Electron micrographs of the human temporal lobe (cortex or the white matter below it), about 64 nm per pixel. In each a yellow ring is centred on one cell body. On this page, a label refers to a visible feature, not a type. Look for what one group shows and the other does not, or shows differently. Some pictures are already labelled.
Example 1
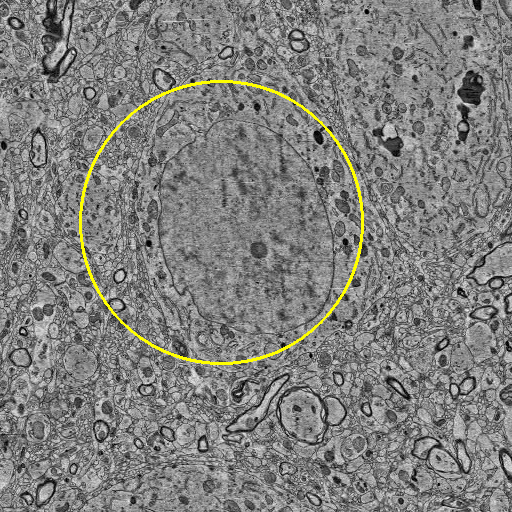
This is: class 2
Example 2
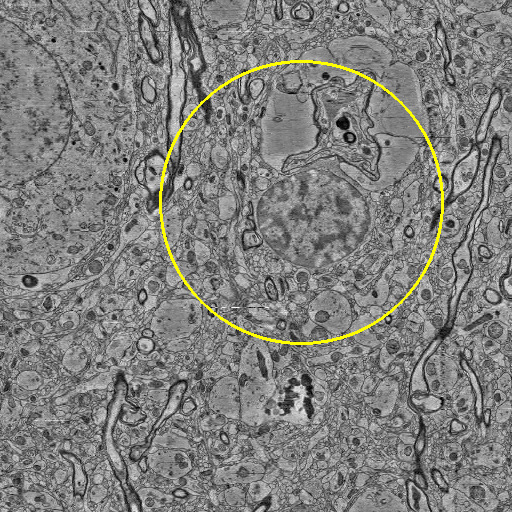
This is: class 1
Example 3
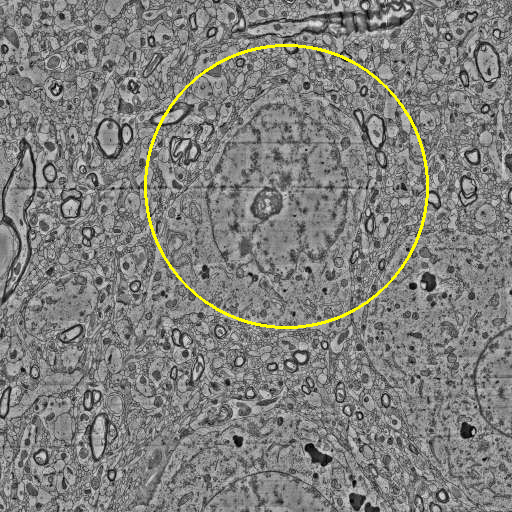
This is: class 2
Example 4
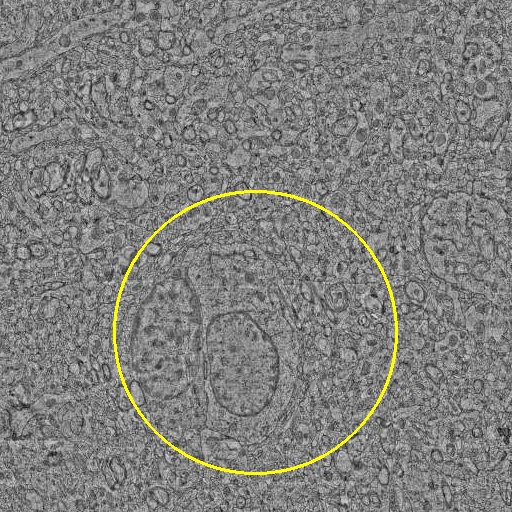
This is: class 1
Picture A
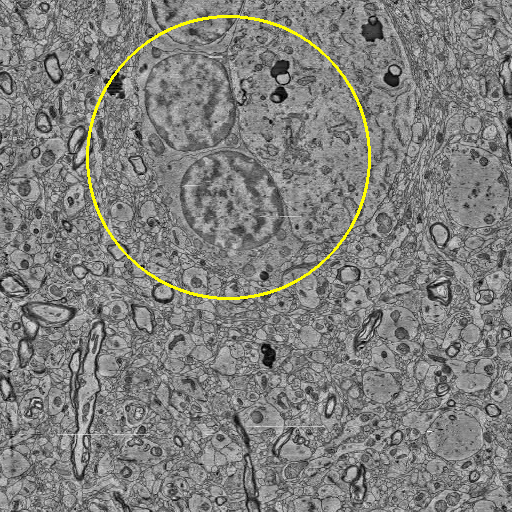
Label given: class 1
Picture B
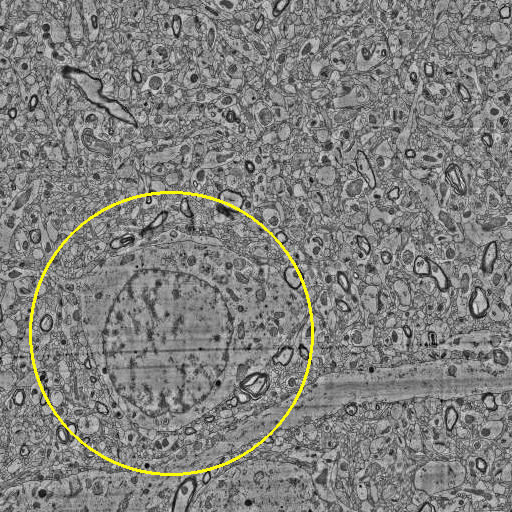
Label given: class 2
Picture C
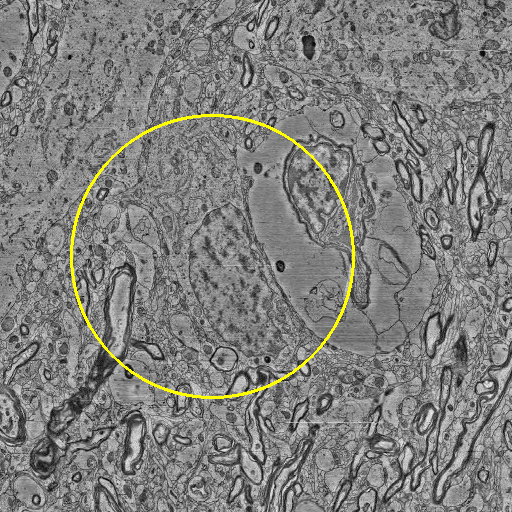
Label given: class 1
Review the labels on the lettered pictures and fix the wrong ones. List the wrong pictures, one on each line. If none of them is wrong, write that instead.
Wrong: B (class 2); correct: class 1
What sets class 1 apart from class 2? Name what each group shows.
In class 1: no nucleolus seen. In class 2: nucleolus seen.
